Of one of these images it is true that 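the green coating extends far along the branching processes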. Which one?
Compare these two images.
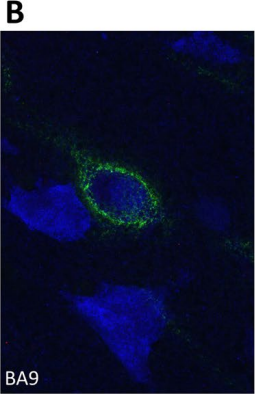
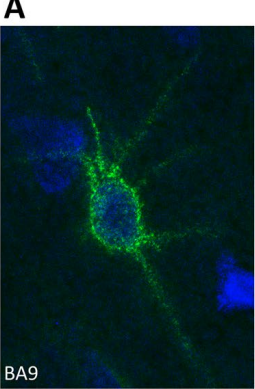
The second image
